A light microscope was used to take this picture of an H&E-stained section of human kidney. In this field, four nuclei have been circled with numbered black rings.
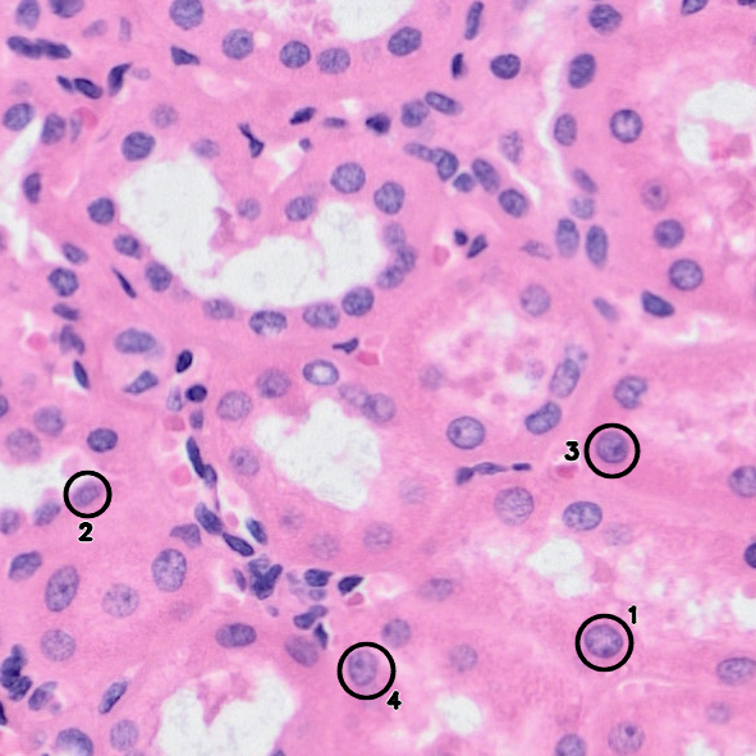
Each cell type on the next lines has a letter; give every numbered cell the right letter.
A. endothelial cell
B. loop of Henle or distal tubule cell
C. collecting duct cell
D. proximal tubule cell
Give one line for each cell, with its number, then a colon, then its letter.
1: D
2: B
3: D
4: D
